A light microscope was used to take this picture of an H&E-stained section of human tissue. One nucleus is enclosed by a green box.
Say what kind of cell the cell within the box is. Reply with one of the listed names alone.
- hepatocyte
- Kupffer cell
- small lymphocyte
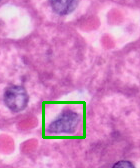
Kupffer cell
